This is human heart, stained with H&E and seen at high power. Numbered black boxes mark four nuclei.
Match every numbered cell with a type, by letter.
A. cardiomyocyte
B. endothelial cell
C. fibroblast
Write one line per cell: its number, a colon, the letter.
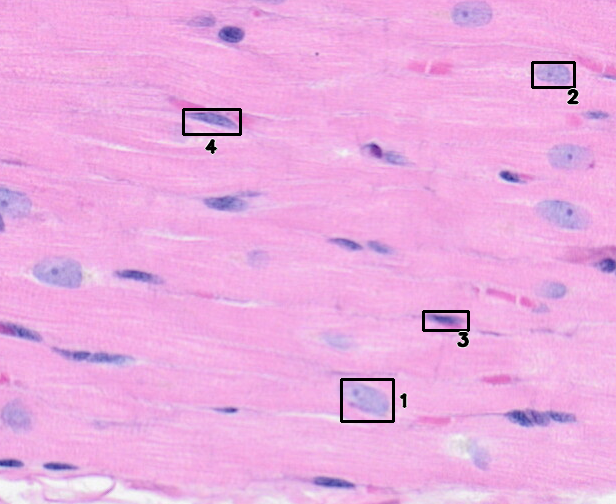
1: A
2: A
3: B
4: B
